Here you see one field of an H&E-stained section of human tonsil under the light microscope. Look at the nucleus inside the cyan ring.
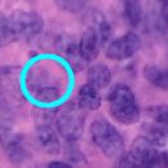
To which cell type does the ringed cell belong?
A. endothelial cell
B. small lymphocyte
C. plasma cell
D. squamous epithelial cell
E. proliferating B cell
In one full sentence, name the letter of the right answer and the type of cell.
The choice that fits is option E, as the ringed cell is a proliferating B cell.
